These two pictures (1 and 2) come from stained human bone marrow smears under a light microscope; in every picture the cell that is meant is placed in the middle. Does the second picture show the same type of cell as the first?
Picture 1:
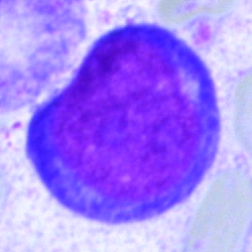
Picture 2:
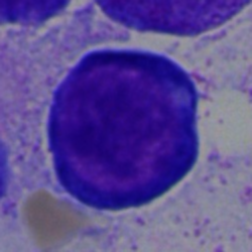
yes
